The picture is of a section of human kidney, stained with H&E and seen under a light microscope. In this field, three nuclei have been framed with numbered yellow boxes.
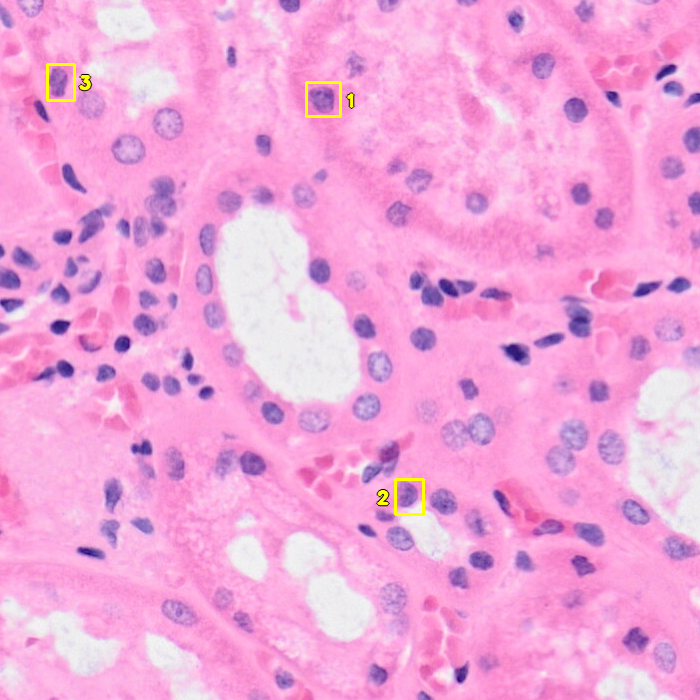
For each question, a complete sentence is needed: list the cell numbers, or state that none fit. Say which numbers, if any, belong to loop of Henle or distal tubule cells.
It is only cell 2 that is a loop of Henle or distal tubule cell among the numbered cells.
